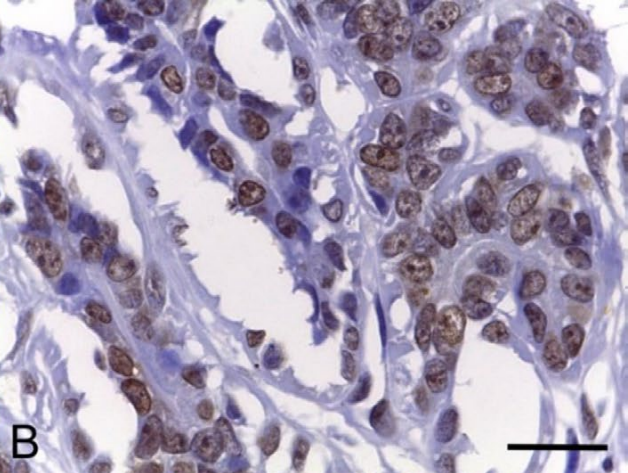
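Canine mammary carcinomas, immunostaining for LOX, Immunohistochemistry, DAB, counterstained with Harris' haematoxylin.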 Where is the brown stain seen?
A: Nuclear.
